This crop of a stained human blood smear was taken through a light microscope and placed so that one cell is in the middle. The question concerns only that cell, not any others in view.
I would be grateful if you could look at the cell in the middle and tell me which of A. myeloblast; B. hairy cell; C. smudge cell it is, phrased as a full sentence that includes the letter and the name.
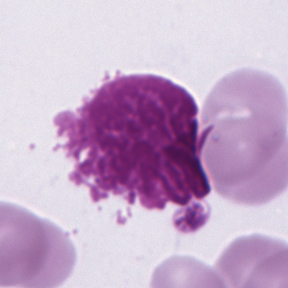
The best answer is option C, since the cell in the middle is a smudge cell.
